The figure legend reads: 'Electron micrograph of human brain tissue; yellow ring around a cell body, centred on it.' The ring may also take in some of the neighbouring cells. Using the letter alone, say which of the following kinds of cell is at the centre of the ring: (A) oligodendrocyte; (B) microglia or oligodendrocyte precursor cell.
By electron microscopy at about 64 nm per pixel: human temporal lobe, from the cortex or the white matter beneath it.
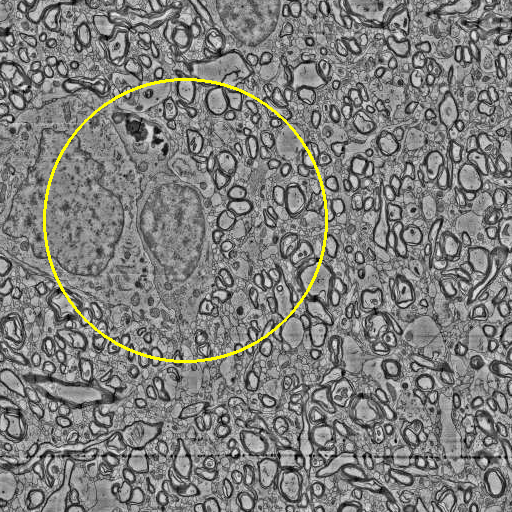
A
